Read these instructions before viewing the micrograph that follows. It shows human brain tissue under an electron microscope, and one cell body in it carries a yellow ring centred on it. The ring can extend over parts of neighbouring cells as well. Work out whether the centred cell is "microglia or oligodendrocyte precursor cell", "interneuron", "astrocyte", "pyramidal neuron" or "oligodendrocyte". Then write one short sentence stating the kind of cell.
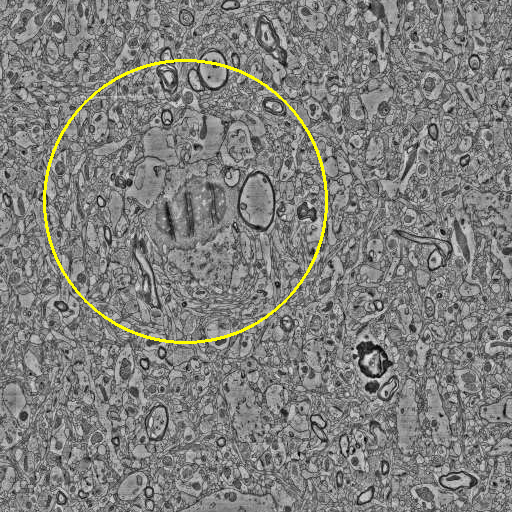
The ringed cell is an oligodendrocyte.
